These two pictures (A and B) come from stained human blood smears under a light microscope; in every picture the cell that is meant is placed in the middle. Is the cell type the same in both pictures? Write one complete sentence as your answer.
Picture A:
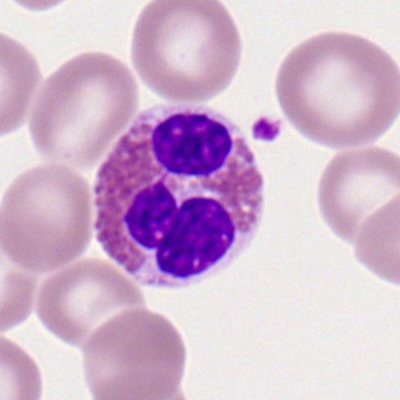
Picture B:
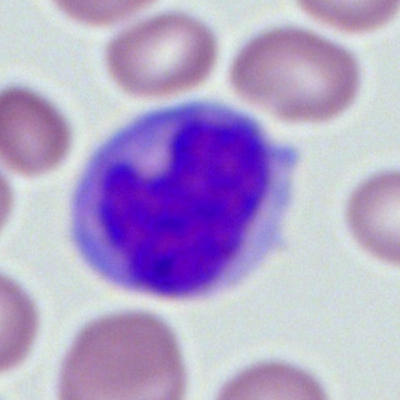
No, the types are not the same, since picture A shows an eosinophil and picture B a monocyte.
